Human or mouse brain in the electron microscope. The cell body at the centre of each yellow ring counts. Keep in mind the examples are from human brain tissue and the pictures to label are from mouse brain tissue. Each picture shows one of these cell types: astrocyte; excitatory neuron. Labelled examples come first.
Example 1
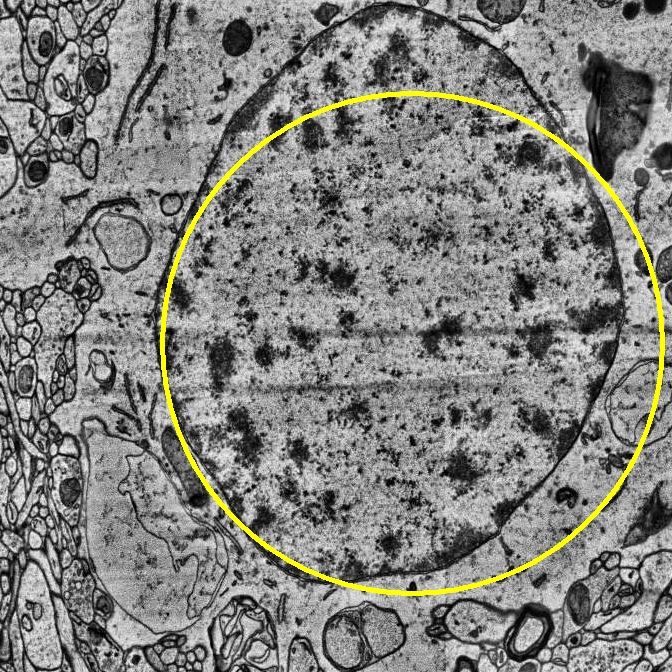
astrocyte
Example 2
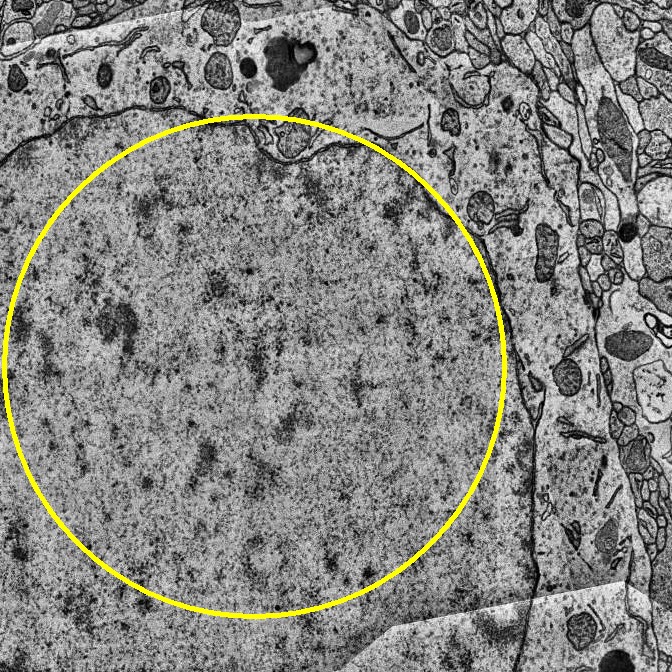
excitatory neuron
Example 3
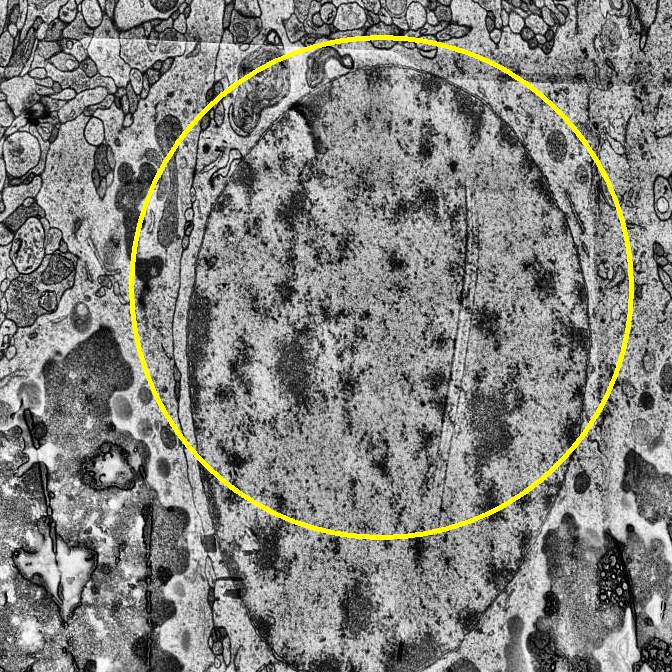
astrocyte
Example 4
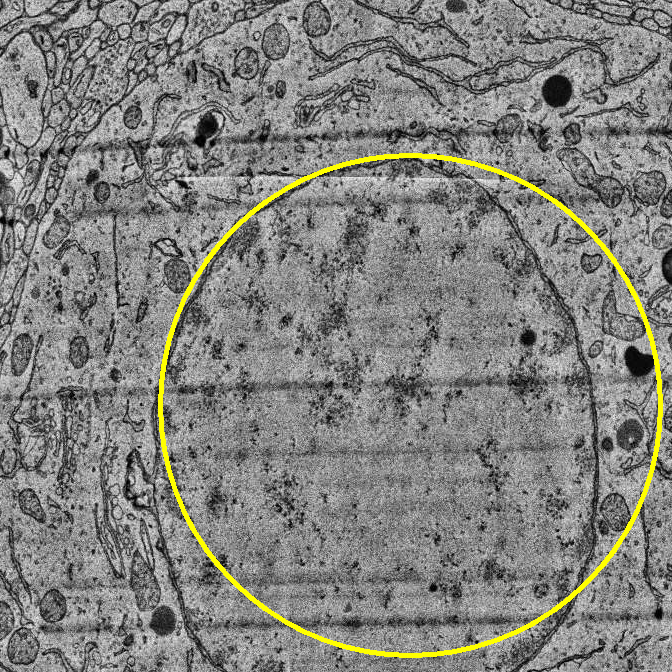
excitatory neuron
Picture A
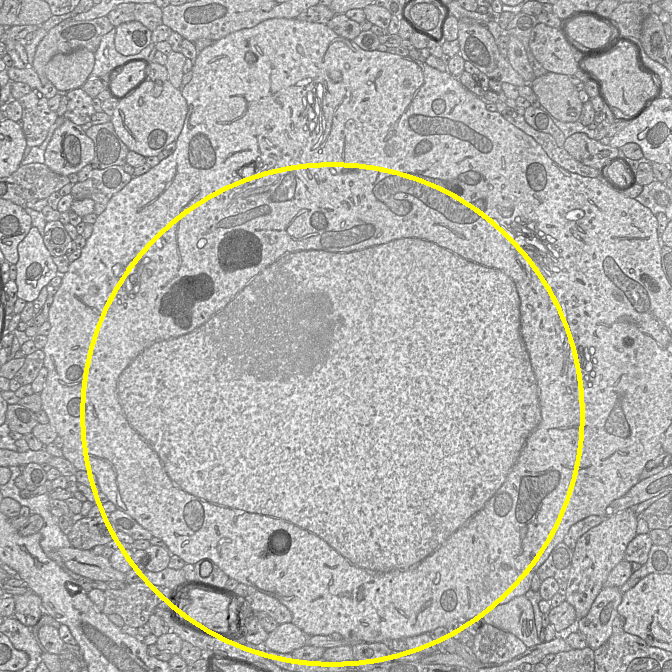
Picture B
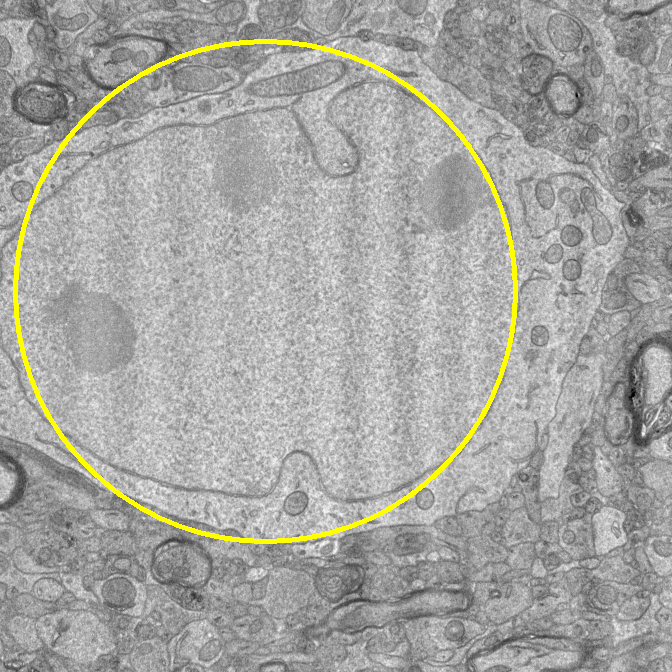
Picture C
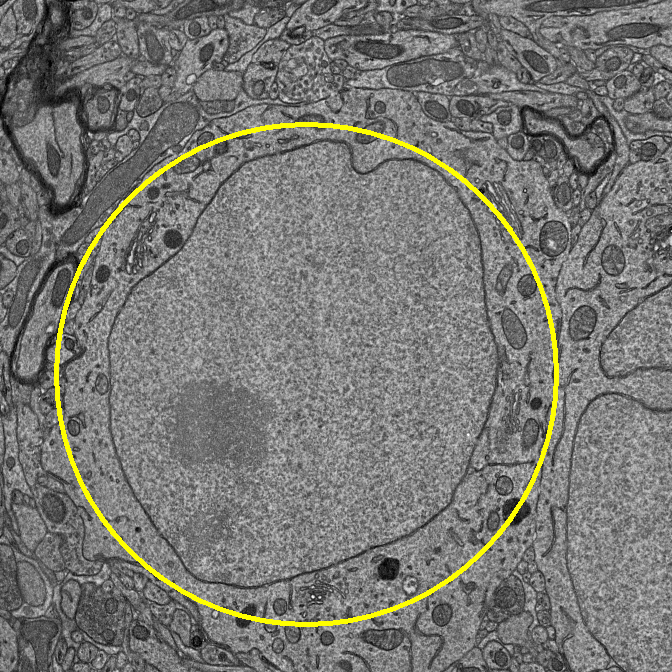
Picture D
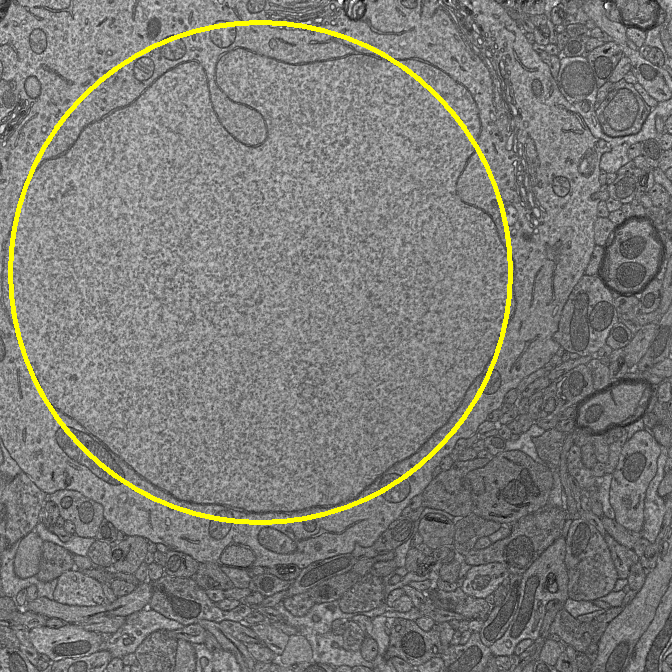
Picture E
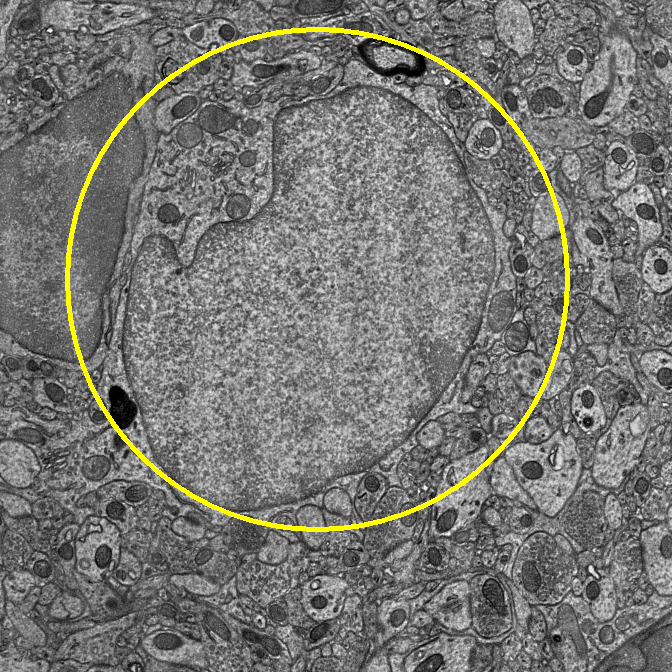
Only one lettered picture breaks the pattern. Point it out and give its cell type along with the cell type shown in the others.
Different: E, astrocyte. Others: excitatory neuron.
